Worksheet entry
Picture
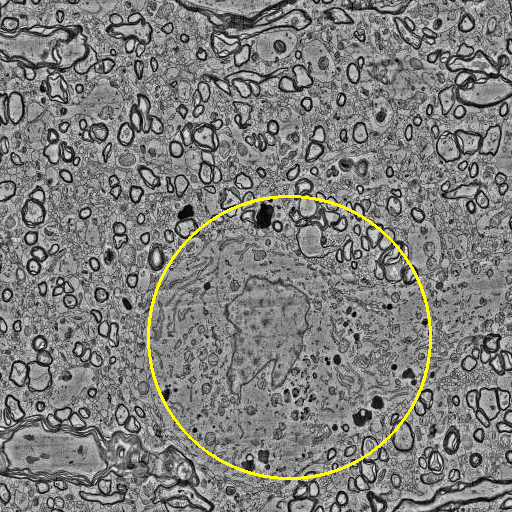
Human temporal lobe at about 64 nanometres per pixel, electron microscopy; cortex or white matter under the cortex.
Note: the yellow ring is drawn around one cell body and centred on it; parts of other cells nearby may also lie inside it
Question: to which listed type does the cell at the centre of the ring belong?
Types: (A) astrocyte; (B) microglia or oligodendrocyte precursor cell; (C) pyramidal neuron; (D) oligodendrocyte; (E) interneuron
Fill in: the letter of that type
C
